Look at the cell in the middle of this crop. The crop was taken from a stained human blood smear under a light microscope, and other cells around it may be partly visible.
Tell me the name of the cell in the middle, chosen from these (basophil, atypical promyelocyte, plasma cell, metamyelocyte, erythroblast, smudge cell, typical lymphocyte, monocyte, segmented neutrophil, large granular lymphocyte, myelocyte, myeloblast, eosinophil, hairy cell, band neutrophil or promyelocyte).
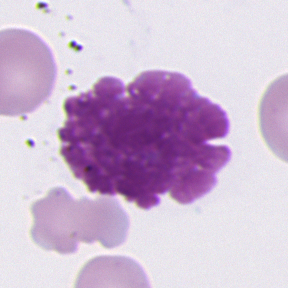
smudge cell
